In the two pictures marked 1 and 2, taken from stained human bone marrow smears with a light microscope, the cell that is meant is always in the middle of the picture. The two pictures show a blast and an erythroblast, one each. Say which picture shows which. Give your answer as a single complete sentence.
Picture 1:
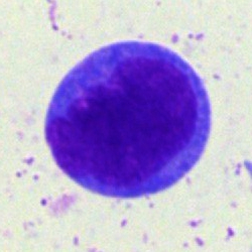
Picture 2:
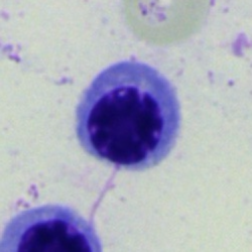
Picture 2 shows an erythroblast, while picture 1 shows a blast.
